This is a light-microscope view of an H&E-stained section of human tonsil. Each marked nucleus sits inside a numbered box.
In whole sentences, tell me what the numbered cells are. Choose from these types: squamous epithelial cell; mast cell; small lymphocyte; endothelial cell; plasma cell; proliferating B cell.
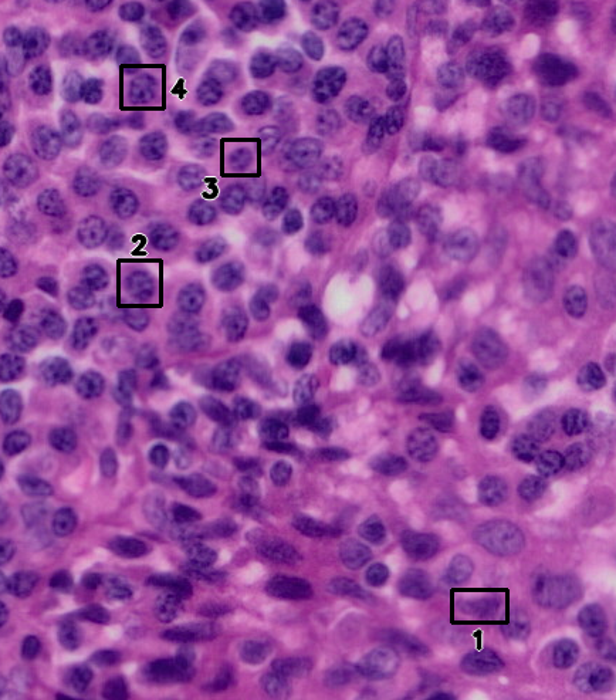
Cell 1 is a squamous epithelial cell, cell 2 is a plasma cell, cell 3 is a plasma cell and cell 4 is a plasma cell.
